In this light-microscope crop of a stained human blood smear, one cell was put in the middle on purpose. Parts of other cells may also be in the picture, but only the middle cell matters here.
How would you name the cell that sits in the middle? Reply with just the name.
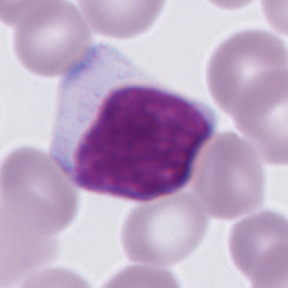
large granular lymphocyte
